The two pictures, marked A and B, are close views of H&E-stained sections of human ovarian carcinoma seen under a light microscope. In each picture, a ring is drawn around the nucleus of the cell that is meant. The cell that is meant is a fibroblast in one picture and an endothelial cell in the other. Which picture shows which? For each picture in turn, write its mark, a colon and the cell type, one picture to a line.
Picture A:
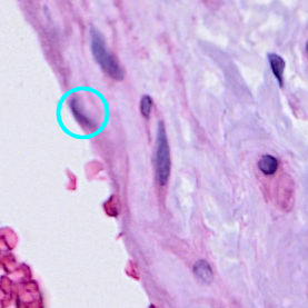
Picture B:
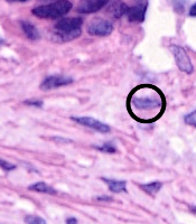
A: endothelial cell
B: fibroblast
